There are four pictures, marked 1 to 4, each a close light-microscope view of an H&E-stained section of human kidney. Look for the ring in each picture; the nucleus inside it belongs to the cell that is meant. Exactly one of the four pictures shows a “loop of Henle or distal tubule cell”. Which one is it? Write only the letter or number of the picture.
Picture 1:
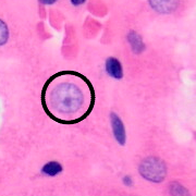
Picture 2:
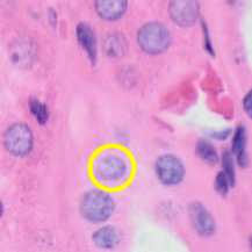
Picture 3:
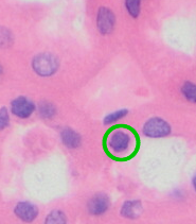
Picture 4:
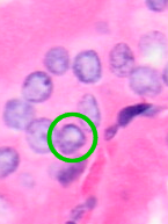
3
